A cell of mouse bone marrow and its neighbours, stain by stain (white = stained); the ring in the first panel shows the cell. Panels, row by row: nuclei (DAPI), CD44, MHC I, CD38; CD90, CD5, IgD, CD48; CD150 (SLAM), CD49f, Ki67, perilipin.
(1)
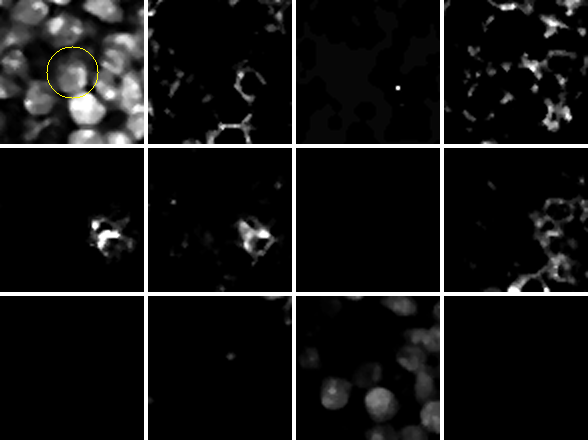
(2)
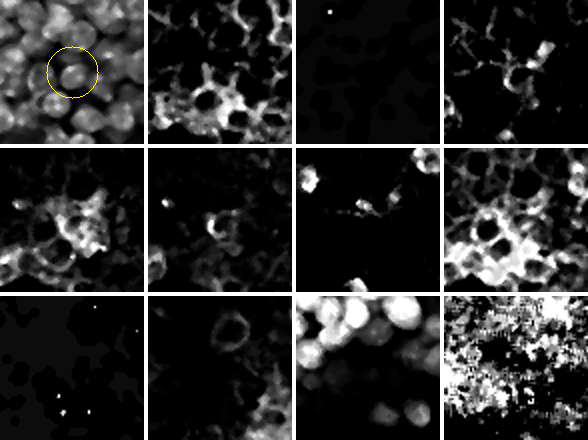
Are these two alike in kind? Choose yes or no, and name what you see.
No. First an erythroblast, second a T cell.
